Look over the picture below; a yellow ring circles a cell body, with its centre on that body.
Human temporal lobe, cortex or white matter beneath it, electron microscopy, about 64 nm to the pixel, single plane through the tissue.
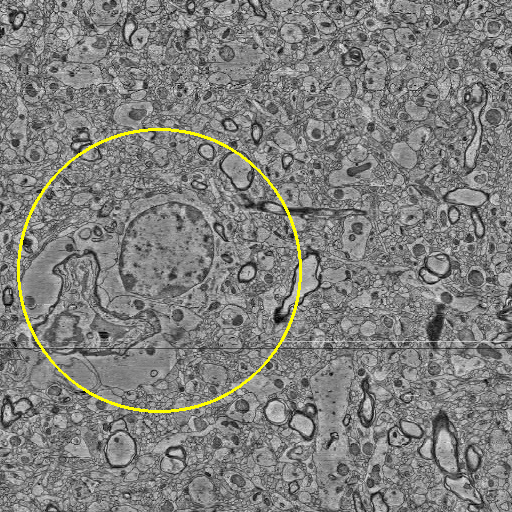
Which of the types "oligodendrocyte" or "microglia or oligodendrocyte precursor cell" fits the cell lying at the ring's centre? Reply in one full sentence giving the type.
The picture shows a microglial cell or oligodendrocyte precursor cell at the centre of the yellow ring.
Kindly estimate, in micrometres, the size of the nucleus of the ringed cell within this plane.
The nucleus measures about 7 by 6 micrometres in this plane.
